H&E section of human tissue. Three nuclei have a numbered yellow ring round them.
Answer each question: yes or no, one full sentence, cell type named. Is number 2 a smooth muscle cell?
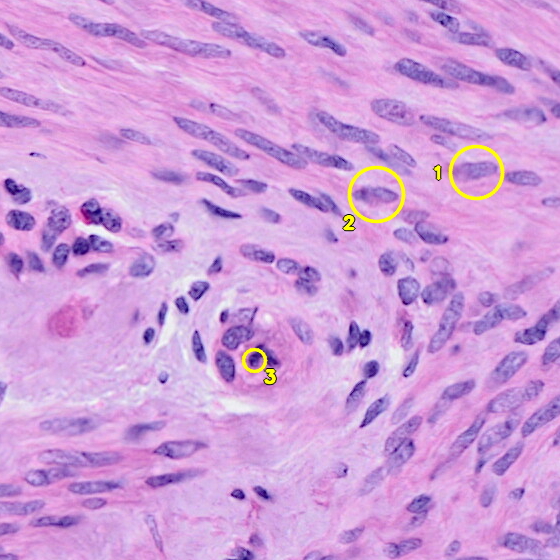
Yes, the cell corresponding to number 2 is a smooth muscle cell.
